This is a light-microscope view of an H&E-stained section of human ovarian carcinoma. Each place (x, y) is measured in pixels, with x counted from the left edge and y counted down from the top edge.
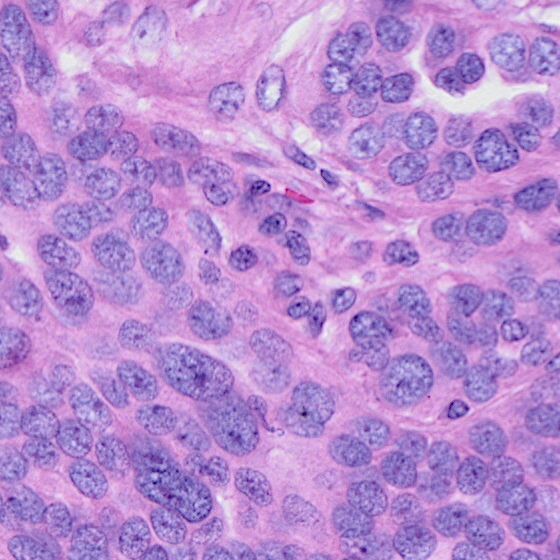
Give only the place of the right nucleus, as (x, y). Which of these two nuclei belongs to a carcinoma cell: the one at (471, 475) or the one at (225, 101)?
(471, 475)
